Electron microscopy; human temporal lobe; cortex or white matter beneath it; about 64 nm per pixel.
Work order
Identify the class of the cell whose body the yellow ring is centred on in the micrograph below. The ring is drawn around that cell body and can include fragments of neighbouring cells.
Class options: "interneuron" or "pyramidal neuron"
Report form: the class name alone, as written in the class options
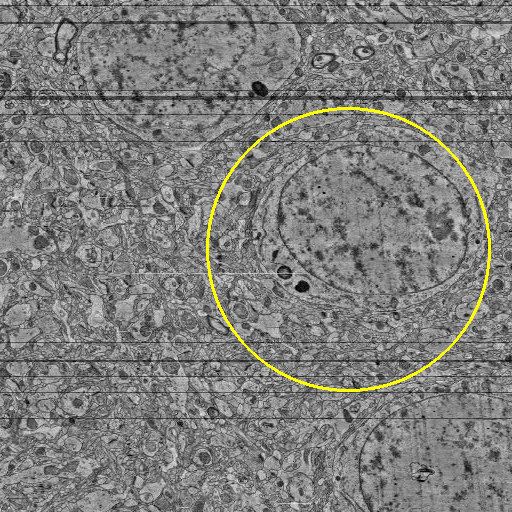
pyramidal neuron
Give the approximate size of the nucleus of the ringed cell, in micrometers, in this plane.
The nucleus measures about 12 by 11 micrometres in this plane.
